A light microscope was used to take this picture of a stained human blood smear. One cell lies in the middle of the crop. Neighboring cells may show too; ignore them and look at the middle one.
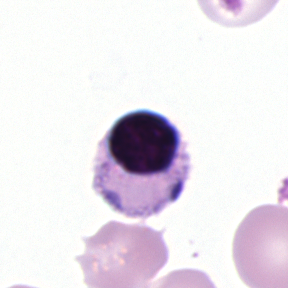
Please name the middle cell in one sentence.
This crop's central cell is a normoblast.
